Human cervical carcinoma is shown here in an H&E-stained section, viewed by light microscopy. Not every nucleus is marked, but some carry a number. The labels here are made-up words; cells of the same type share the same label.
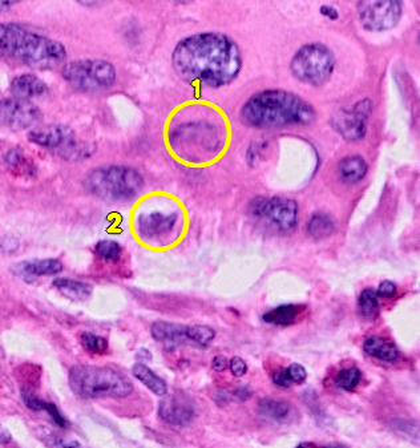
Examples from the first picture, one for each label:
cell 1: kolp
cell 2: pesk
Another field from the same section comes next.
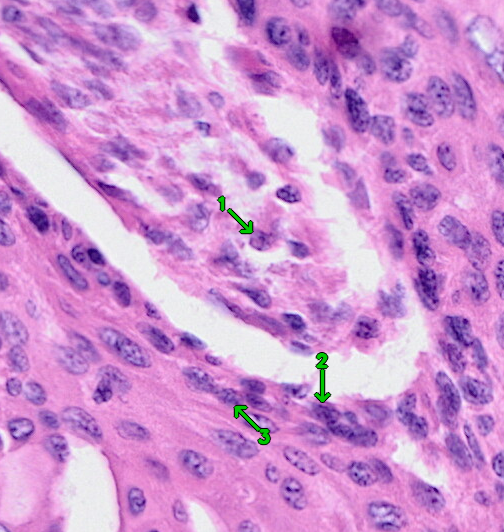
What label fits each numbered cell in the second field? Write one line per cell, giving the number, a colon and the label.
1: pesk
2: kolp
3: kolp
